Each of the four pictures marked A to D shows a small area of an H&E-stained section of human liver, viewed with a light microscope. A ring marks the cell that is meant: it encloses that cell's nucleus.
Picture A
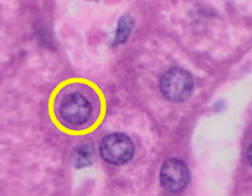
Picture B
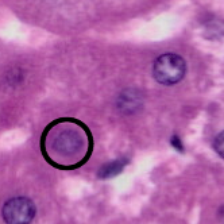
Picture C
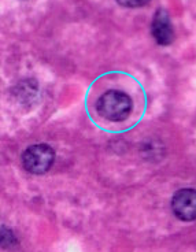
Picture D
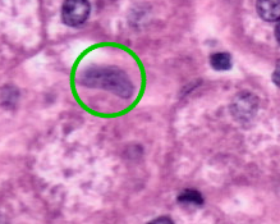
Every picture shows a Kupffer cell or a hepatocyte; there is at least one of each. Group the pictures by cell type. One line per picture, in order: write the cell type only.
hepatocyte
hepatocyte
hepatocyte
Kupffer cell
